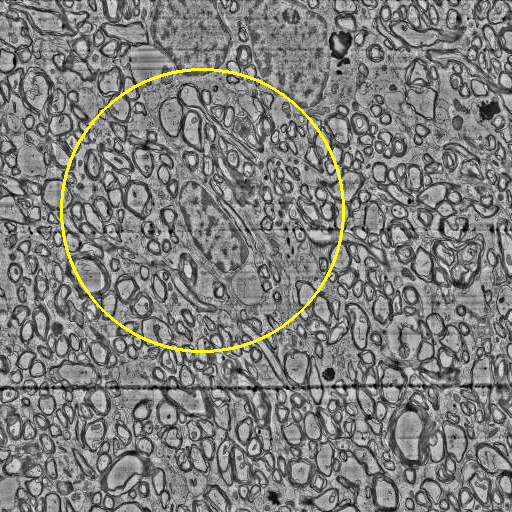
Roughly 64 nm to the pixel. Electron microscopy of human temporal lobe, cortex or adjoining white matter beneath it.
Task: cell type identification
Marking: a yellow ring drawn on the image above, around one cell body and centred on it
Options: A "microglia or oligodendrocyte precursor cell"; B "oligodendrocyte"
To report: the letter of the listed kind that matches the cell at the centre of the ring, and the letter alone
A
